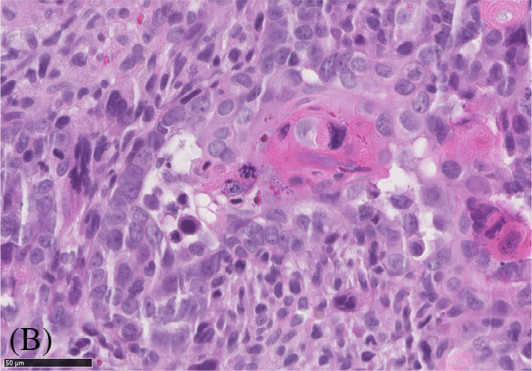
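This is a tumour showing inner root sheath differentiation, seen at higher power. Most of the field is crowded with epithelial cells with oval to elongated, hyperchromatic nuclei and scant cytoplasm, packed closely and somewhat streaming. In the centre and at the right edge, a few cells have abundant bright pink, glassy cytoplasm, keratinising as they mature, and among them small dark red to purple granular material can be made out. Some nuclei are large and irregular, and a few cells look shrunken and dark. Small clear spaces lie between the cells near the keratinising focus.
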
